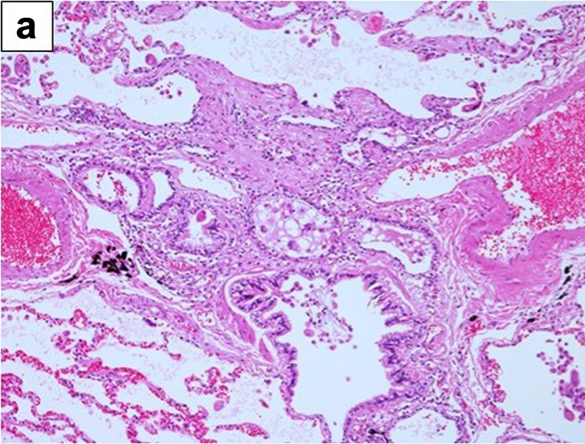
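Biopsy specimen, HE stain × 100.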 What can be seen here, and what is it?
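A bronchiole lined by columnar epithelium lies within broad bands of pink fibrous tissue scattered with small dark inflammatory cells. Blood vessels packed with red blood cells lie beside the airway, and clumps of black pigment are deposited in the surrounding tissue. Beyond the thickened zone, thin-walled alveoli hold some red blood cells and loose cells in their spaces.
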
